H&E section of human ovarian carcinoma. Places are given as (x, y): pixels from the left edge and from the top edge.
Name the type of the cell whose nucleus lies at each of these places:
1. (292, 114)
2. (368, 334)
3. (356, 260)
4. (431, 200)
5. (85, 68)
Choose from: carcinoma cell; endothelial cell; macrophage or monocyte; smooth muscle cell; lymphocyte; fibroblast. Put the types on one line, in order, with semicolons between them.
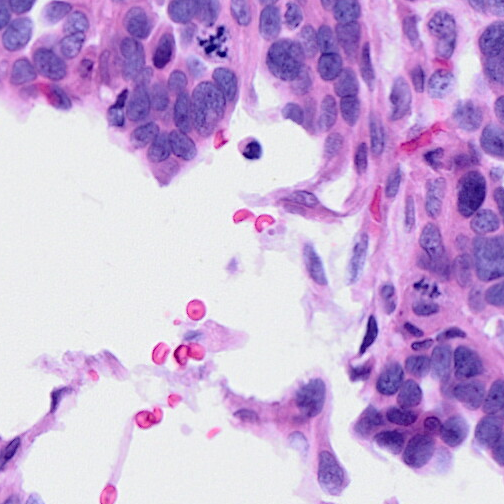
carcinoma cell; fibroblast; fibroblast; fibroblast; macrophage or monocyte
